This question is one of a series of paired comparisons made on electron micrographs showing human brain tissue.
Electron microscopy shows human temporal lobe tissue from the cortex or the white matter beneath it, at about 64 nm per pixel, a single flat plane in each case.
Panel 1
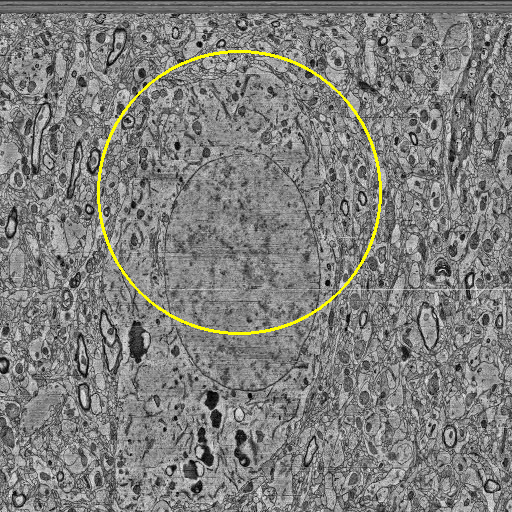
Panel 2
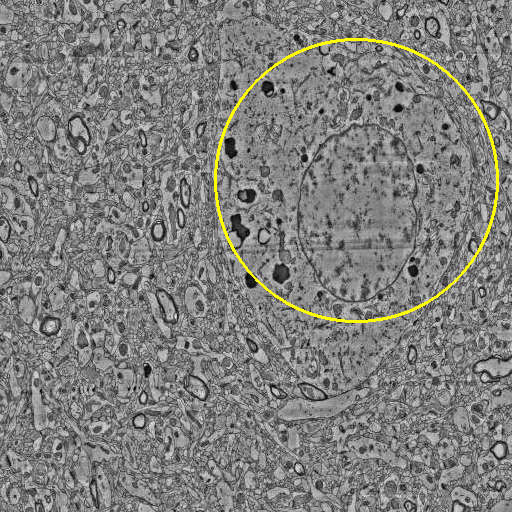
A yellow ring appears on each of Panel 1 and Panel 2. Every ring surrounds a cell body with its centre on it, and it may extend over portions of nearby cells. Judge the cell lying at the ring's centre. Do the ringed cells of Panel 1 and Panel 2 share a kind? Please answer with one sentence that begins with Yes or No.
Yes, the ring-centre cell in Panel 1 and the one in Panel 2 are of one kind.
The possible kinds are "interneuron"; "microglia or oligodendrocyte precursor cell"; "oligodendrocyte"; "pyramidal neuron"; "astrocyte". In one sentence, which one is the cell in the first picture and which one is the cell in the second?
Both rings mark a pyramidal neuron, one in each picture.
